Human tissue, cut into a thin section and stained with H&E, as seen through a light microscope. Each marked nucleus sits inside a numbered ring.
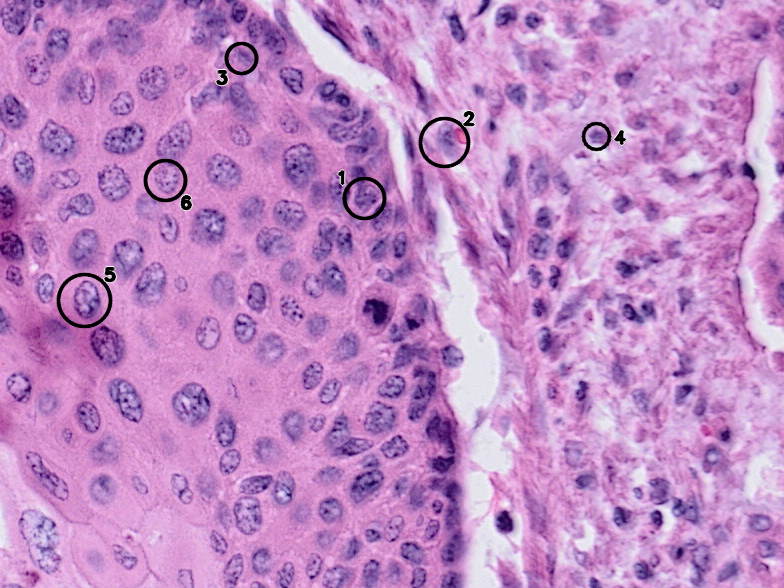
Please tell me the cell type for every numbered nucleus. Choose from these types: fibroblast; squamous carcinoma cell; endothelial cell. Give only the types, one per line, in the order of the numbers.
squamous carcinoma cell
endothelial cell
squamous carcinoma cell
fibroblast
squamous carcinoma cell
squamous carcinoma cell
